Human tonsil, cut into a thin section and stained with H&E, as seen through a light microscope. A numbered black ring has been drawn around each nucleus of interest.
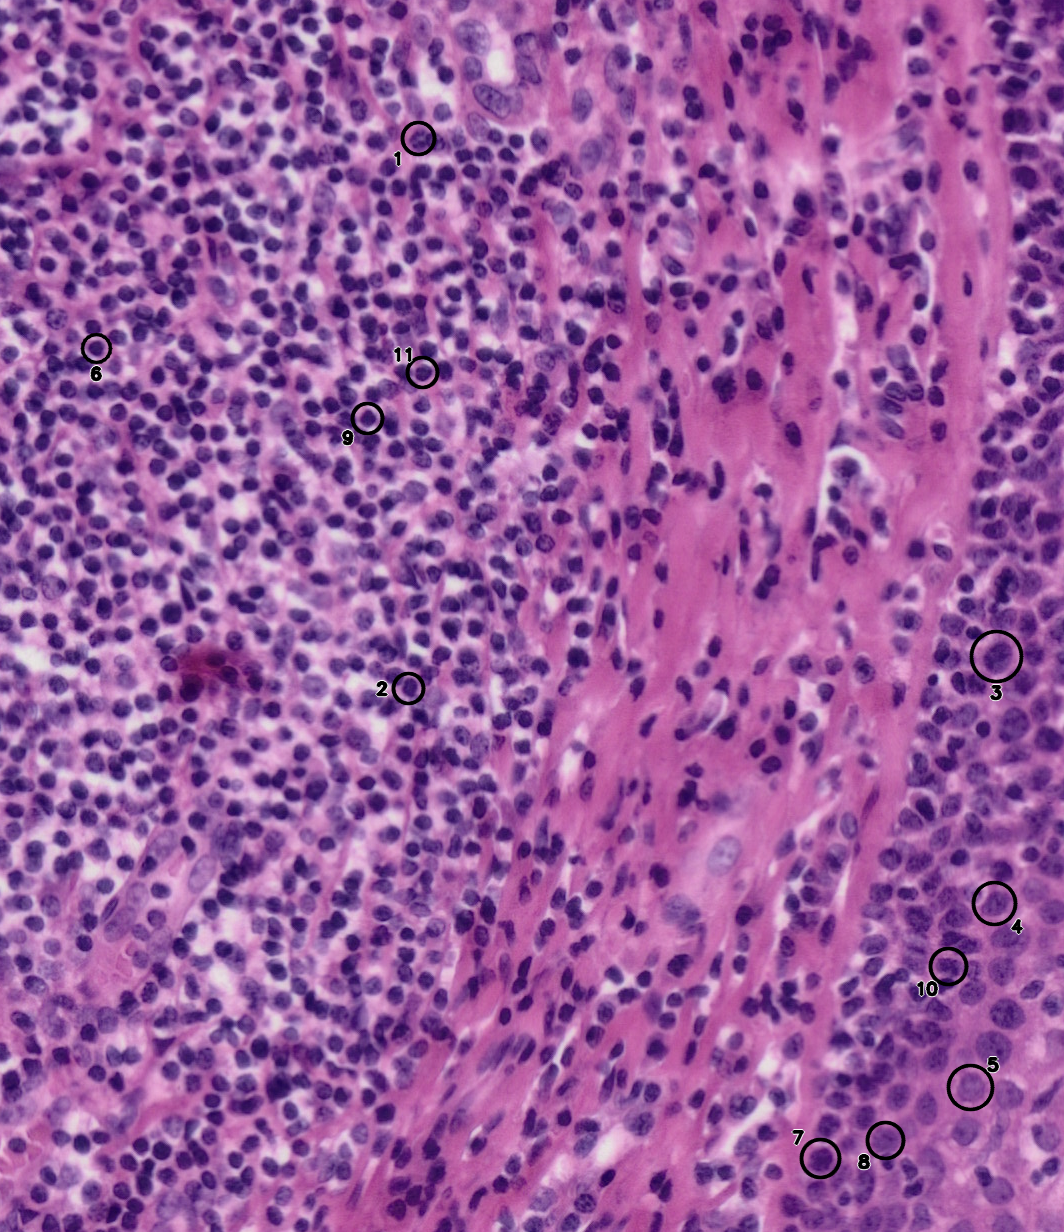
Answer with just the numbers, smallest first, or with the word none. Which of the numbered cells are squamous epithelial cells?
3, 4, 5, 7, 8, 10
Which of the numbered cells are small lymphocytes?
2, 6, 9, 11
